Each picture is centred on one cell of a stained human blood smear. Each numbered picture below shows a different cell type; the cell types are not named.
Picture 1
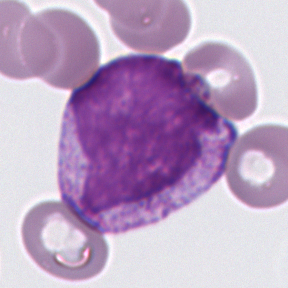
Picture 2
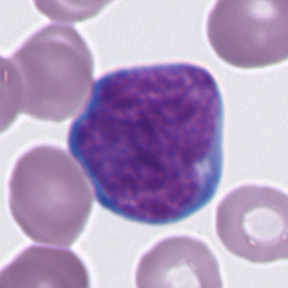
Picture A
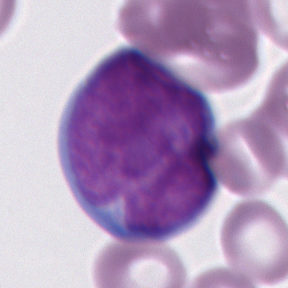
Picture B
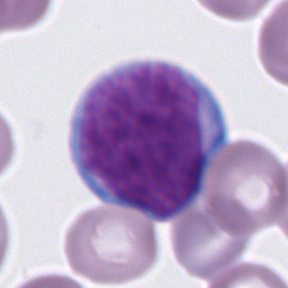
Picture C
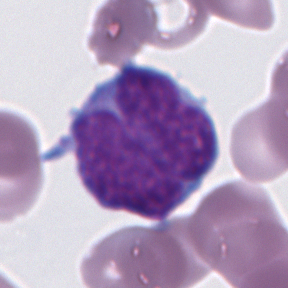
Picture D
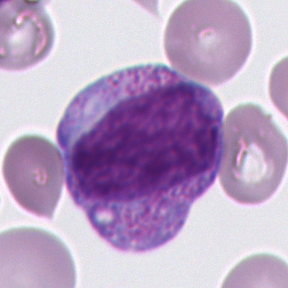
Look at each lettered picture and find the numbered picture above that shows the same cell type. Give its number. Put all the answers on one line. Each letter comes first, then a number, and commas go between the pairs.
A 2, B 2, C 1, D 1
